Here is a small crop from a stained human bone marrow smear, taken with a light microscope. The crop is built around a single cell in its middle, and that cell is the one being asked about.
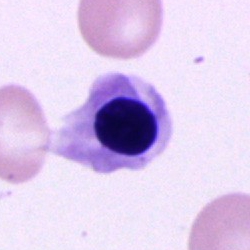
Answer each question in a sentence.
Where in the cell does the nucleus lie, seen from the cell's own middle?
The nucleus lies toward the right of the cell.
